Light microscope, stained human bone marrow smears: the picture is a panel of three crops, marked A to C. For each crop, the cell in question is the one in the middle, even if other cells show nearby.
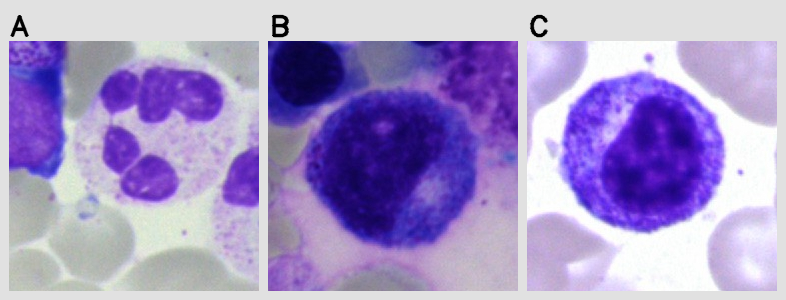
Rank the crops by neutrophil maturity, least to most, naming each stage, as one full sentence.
The maturation order, from least to most mature, is crop B (a promyelocyte), crop C (a myelocyte) and crop A (a segmented neutrophil).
